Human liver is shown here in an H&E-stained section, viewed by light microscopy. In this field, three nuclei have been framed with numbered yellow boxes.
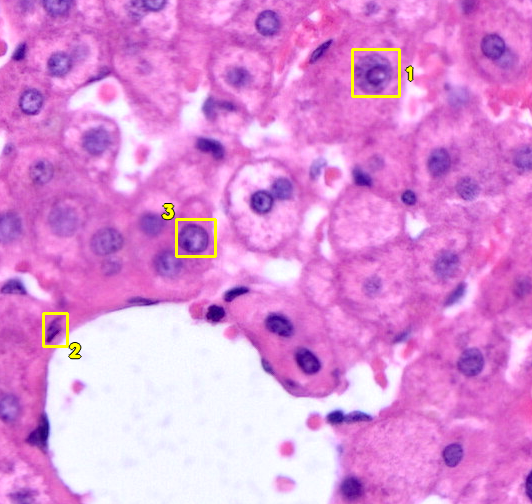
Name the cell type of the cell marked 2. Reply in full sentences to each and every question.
The cell tagged with 2 in this tissue section is a fibroblast or stellate cell.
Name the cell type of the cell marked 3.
The cell numbered 3 represents a hepatocyte.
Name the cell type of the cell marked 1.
The cell that is numbered 1 is a hepatocyte.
